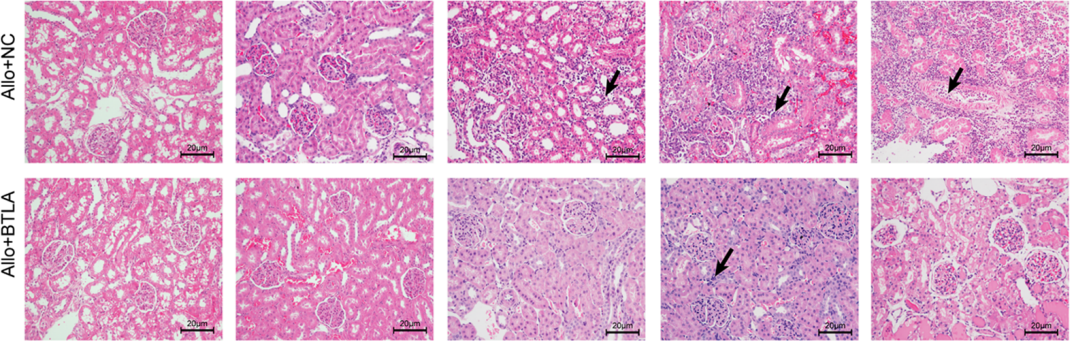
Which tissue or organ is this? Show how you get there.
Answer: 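Renal tissue. Round capillary tufts sit within clear spaces, as glomeruli do. Many tubule cross-sections are lined by pink cuboidal epithelium.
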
